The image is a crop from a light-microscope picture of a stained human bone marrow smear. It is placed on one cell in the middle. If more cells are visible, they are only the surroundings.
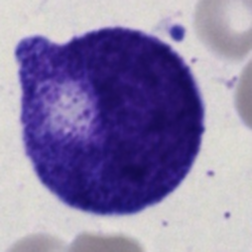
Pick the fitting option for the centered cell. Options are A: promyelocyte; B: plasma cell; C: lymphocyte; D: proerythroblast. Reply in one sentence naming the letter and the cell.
Option A is right, the centrally situated cell being a promyelocyte.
